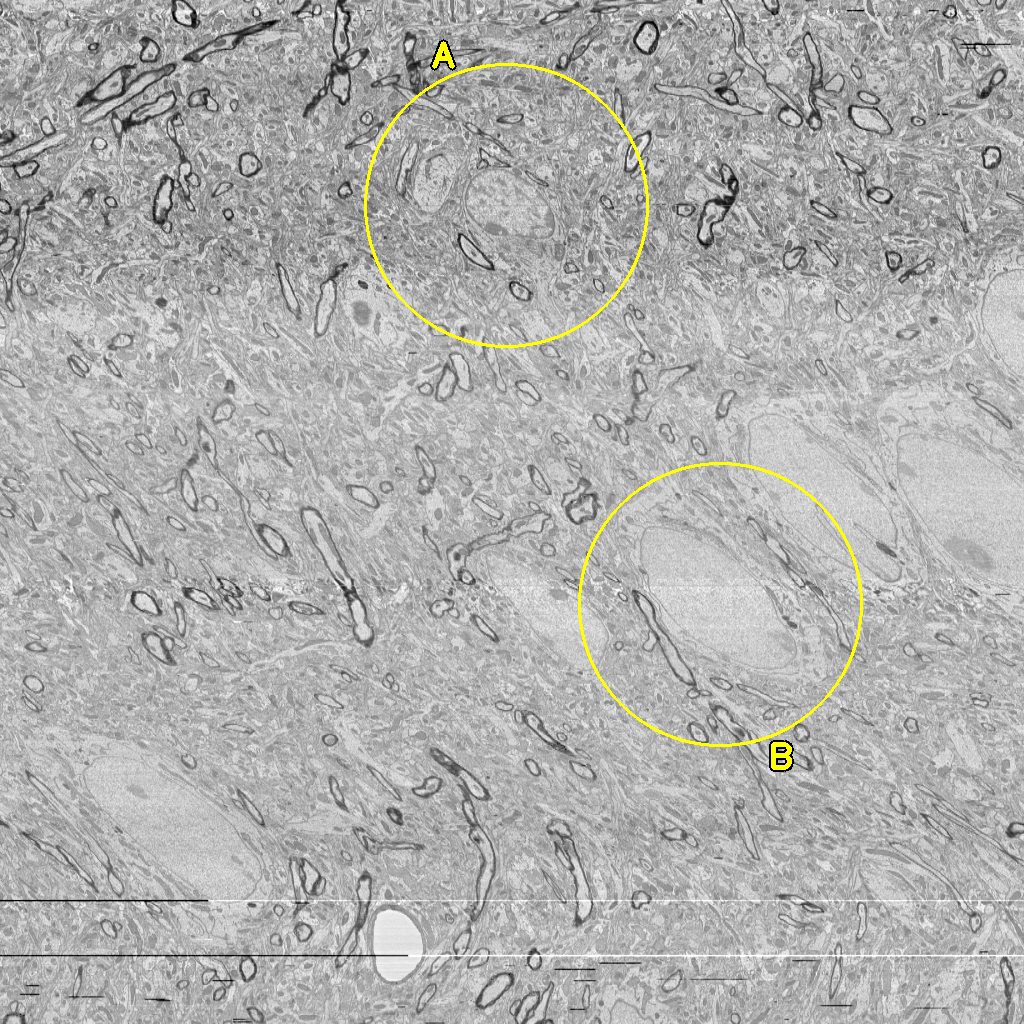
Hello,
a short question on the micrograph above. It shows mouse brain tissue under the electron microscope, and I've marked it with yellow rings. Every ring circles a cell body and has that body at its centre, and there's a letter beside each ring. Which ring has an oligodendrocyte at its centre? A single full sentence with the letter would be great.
The cell you asked about sits at the centre of ring A.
